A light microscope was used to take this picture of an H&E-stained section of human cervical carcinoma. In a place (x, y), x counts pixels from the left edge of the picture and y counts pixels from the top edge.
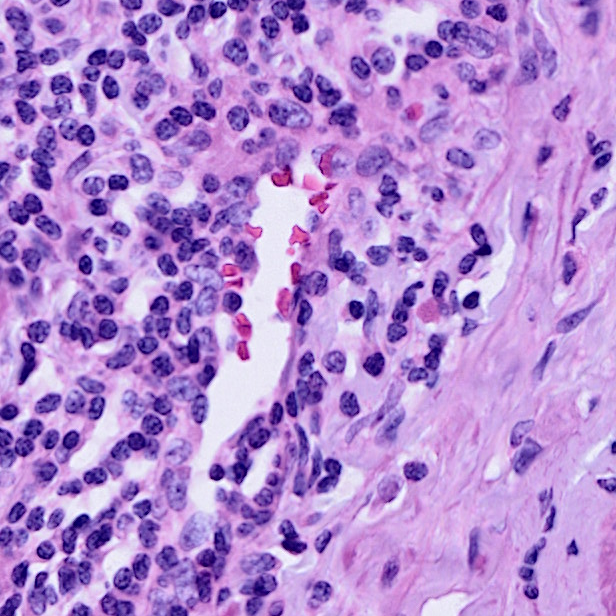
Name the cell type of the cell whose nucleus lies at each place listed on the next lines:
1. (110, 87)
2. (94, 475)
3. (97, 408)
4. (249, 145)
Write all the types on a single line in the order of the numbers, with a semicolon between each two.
lymphocyte; lymphocyte; lymphocyte; endothelial cell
